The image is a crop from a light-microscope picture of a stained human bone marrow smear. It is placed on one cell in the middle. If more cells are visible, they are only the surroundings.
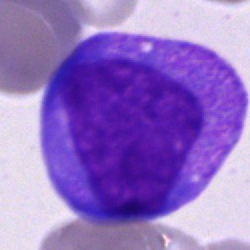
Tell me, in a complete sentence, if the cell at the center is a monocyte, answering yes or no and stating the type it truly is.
No, instead of being a monocyte, the middle cell is a promyelocyte.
